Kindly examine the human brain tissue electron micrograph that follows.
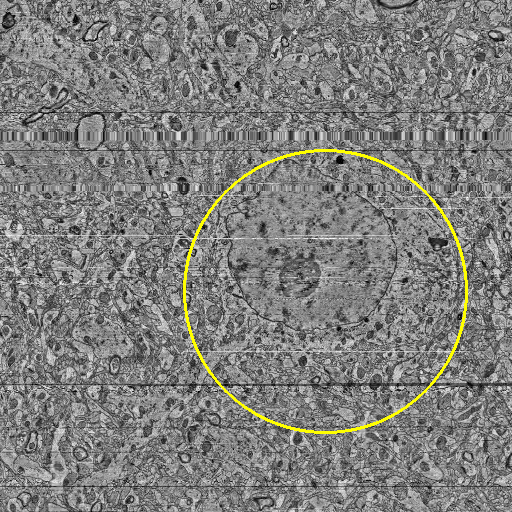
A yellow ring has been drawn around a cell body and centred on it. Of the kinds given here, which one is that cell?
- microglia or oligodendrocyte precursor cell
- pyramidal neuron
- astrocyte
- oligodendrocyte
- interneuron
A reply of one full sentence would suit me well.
The micrograph's ringed cell, the one at the ring's centre, is a pyramidal neuron.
